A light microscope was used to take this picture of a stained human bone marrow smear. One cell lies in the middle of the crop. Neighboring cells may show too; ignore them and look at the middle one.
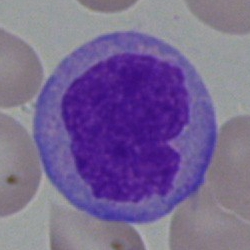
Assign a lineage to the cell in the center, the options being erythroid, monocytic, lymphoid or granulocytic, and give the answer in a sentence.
The lineage of the cell at the center of the crop is monocytic.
